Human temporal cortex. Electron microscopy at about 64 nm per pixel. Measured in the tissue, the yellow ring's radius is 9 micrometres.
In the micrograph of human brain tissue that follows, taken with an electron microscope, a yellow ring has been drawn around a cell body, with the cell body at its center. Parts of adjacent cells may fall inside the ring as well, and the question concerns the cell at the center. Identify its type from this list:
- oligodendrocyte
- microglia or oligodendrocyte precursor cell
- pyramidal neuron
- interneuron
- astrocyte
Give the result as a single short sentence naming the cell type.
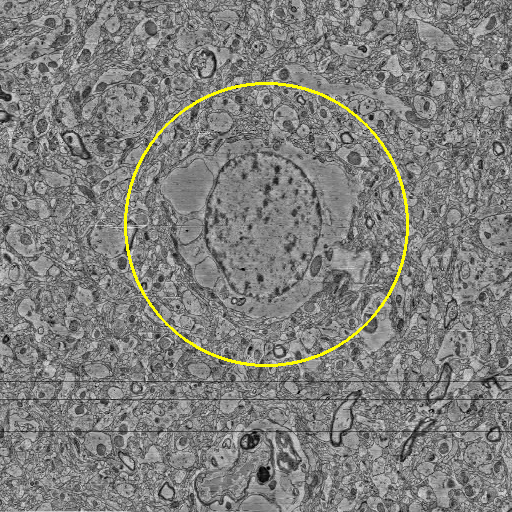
The ring is centered on an astrocyte.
